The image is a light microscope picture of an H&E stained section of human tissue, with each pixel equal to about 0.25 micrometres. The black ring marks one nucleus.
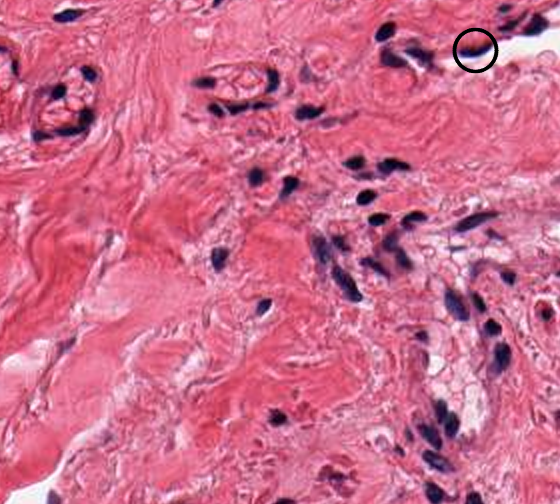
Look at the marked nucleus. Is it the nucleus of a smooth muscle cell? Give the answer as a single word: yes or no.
no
